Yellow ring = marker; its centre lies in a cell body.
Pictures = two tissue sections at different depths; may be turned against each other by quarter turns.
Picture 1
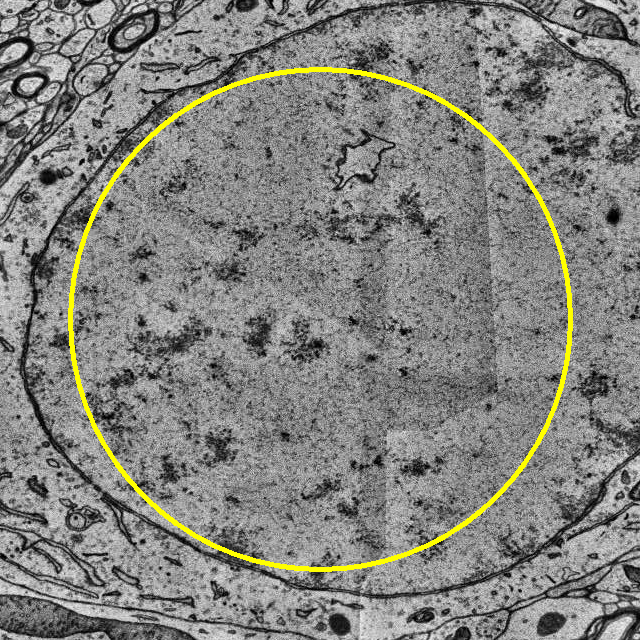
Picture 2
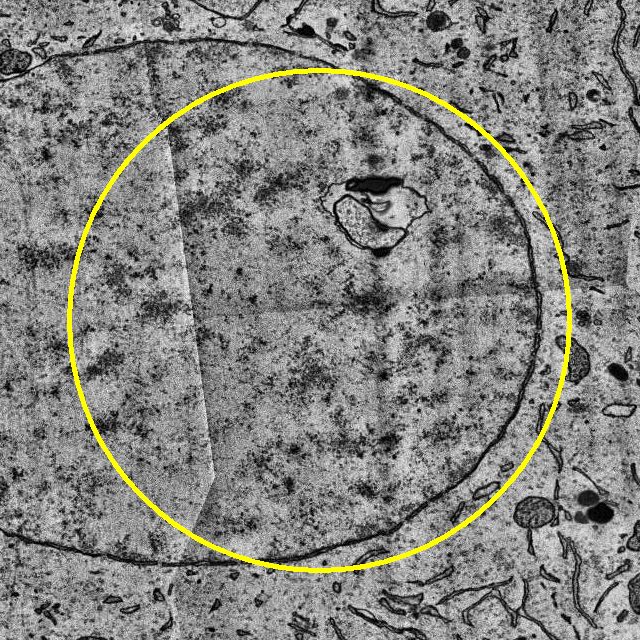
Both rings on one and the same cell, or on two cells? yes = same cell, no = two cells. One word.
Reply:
no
